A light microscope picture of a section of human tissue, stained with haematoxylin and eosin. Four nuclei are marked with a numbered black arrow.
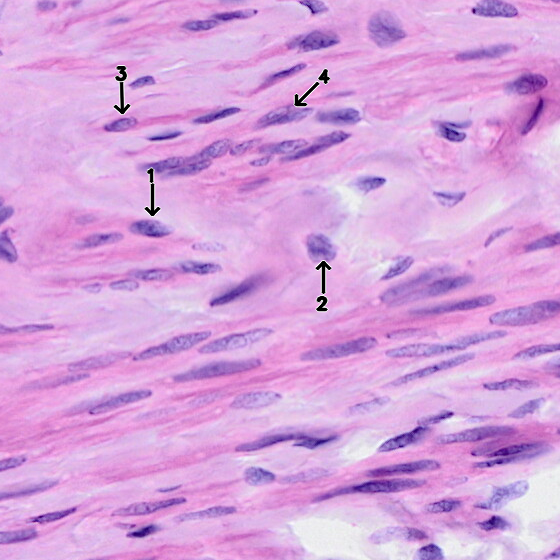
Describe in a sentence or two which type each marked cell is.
Cell 1 is a smooth muscle cell, cell 2 is a fibroblast, cell 3 is a smooth muscle cell and cell 4 is a smooth muscle cell.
